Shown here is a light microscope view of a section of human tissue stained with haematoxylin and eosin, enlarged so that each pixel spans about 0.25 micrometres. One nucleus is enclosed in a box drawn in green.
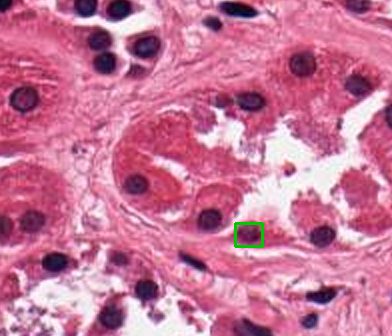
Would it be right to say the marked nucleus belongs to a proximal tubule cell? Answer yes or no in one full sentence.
Yes, a proximal tubule cell is the cell to which the marked nucleus belongs.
